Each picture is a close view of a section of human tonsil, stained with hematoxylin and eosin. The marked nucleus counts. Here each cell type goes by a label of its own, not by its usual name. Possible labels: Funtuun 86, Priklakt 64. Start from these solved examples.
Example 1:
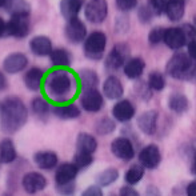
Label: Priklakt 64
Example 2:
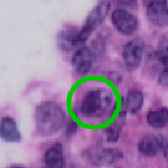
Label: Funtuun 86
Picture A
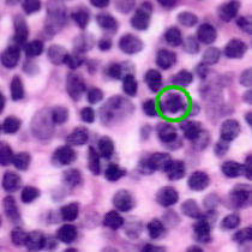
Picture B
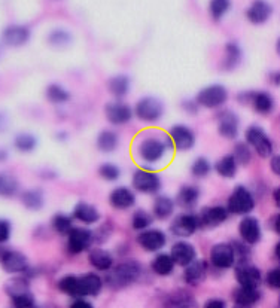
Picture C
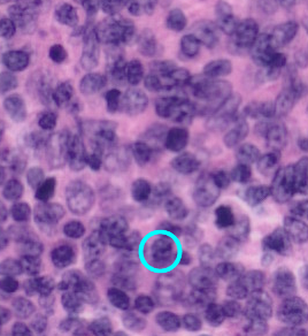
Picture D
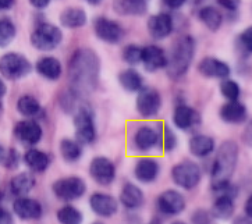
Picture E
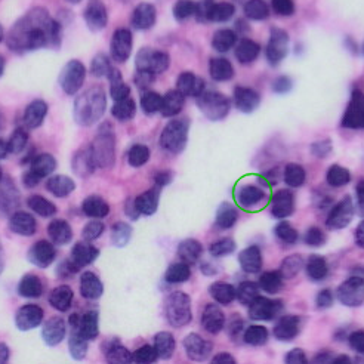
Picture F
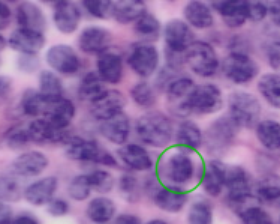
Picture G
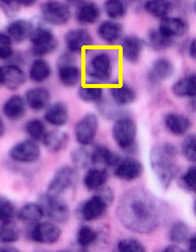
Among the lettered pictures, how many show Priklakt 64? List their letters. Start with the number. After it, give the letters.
6: A, B, D, E, F, G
